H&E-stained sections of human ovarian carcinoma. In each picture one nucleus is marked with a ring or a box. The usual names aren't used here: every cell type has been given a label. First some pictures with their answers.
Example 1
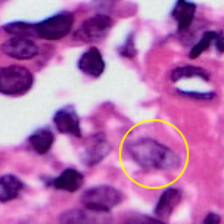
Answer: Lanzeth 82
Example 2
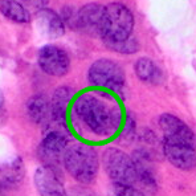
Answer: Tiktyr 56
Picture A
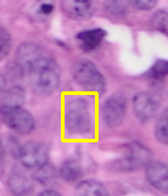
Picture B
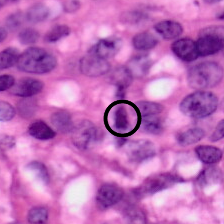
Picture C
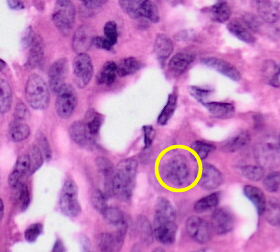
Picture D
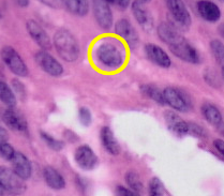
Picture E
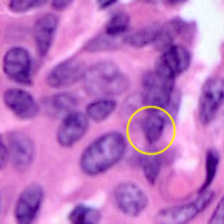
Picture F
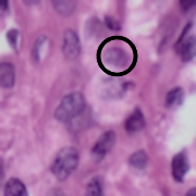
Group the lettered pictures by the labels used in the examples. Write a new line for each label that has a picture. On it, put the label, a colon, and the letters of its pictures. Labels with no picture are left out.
Lanzeth 82: D, F
Tiktyr 56: A, B, C, E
